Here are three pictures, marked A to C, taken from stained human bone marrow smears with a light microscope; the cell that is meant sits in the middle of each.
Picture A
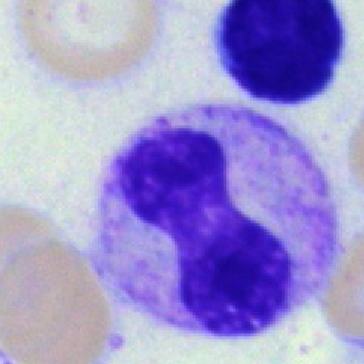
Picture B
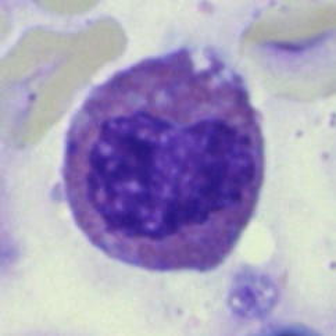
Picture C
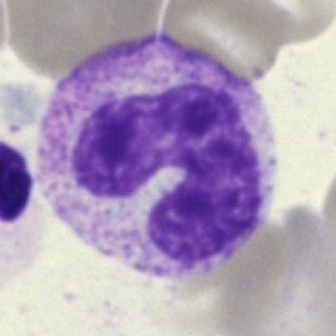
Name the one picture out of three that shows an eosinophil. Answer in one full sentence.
The cell in picture B is the eosinophil.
